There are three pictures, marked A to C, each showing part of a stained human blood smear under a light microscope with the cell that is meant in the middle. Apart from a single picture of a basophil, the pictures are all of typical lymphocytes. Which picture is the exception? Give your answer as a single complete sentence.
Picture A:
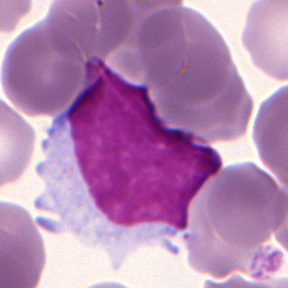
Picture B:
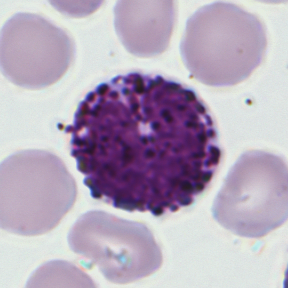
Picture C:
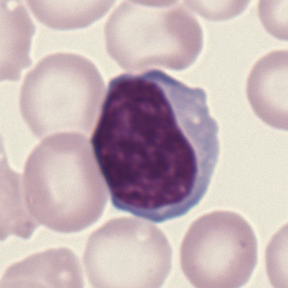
Picture B is the one that shows the basophil.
